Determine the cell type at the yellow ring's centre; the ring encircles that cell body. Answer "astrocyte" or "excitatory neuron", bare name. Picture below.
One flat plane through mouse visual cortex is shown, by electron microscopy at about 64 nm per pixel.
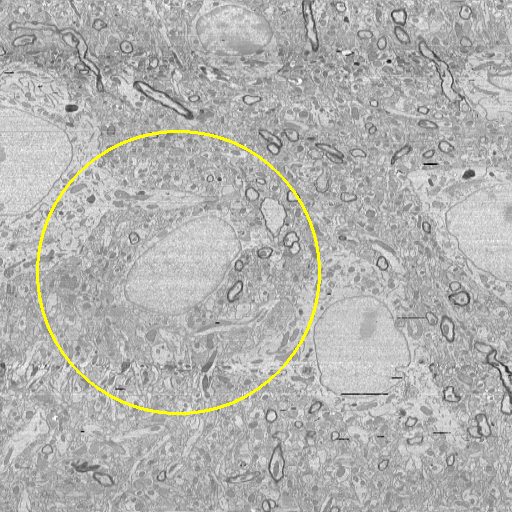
astrocyte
